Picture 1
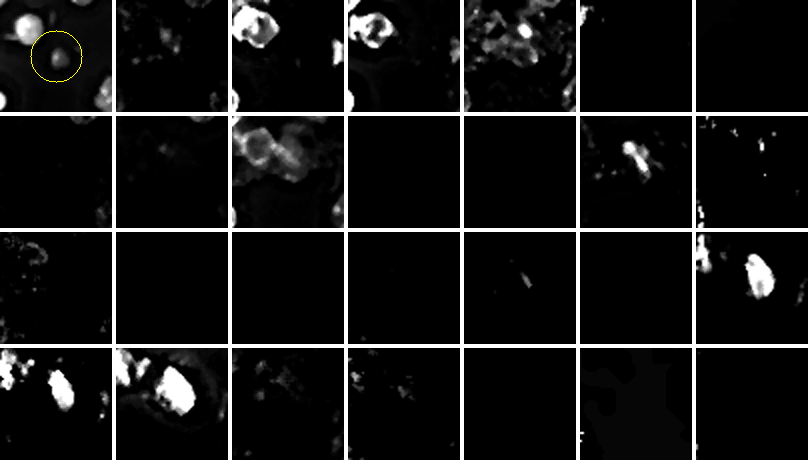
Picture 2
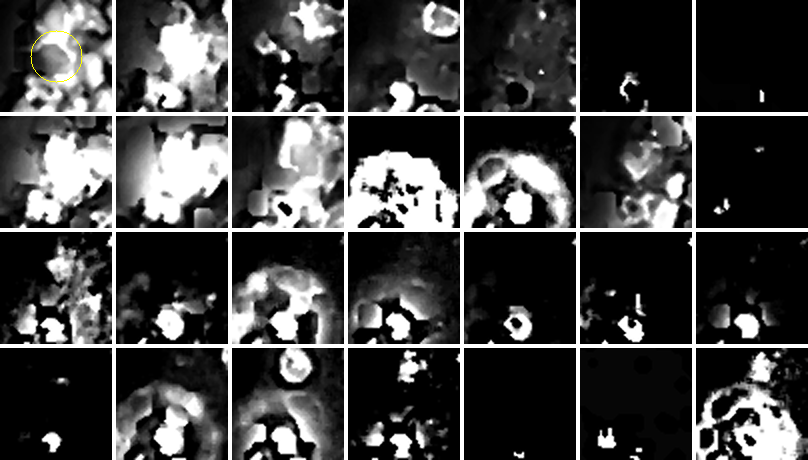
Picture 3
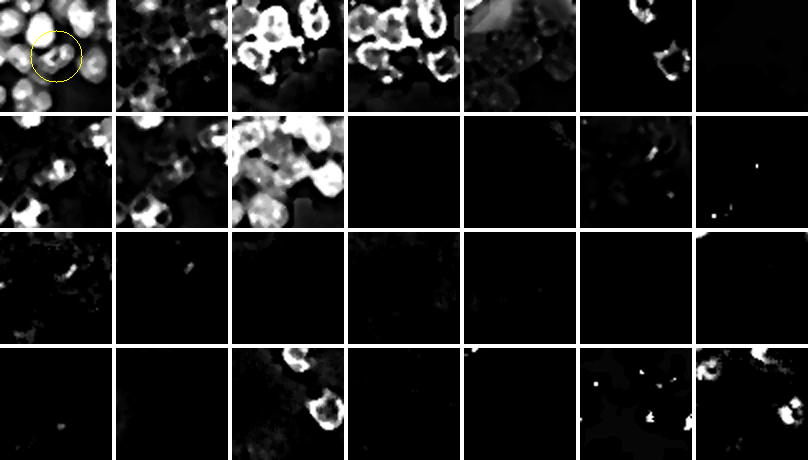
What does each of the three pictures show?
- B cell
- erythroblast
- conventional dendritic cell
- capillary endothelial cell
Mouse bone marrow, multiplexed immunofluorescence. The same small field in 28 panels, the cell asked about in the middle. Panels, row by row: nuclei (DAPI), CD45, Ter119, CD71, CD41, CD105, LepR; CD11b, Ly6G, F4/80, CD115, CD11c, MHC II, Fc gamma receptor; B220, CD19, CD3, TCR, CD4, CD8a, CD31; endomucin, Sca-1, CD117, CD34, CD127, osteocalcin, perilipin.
(1) capillary endothelial cell
(2) conventional dendritic cell
(3) erythroblast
